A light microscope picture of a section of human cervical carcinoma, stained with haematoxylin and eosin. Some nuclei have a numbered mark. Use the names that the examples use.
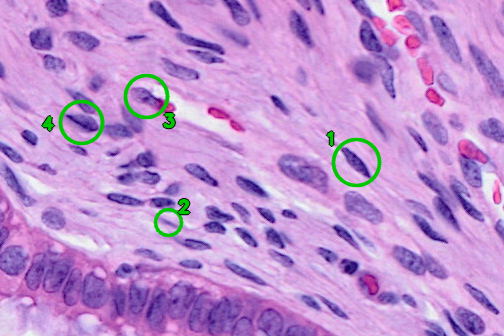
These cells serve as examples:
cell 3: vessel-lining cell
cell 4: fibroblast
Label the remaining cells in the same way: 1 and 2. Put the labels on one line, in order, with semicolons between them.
fibroblast; fibroblast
